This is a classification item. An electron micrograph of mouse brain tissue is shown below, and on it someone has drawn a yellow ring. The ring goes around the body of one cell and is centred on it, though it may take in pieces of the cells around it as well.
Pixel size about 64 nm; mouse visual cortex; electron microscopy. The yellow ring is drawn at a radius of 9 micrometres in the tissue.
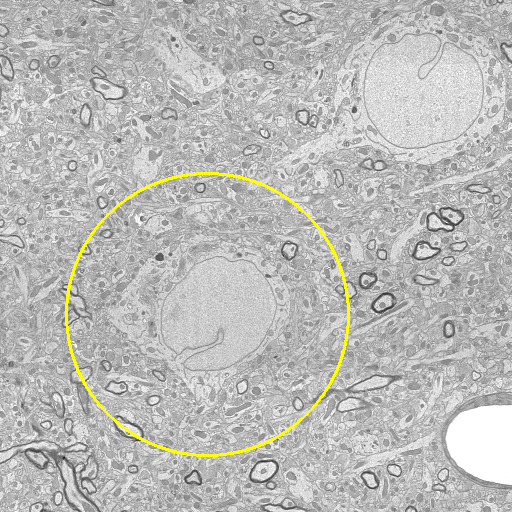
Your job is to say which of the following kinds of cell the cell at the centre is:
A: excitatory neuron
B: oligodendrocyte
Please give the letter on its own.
A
